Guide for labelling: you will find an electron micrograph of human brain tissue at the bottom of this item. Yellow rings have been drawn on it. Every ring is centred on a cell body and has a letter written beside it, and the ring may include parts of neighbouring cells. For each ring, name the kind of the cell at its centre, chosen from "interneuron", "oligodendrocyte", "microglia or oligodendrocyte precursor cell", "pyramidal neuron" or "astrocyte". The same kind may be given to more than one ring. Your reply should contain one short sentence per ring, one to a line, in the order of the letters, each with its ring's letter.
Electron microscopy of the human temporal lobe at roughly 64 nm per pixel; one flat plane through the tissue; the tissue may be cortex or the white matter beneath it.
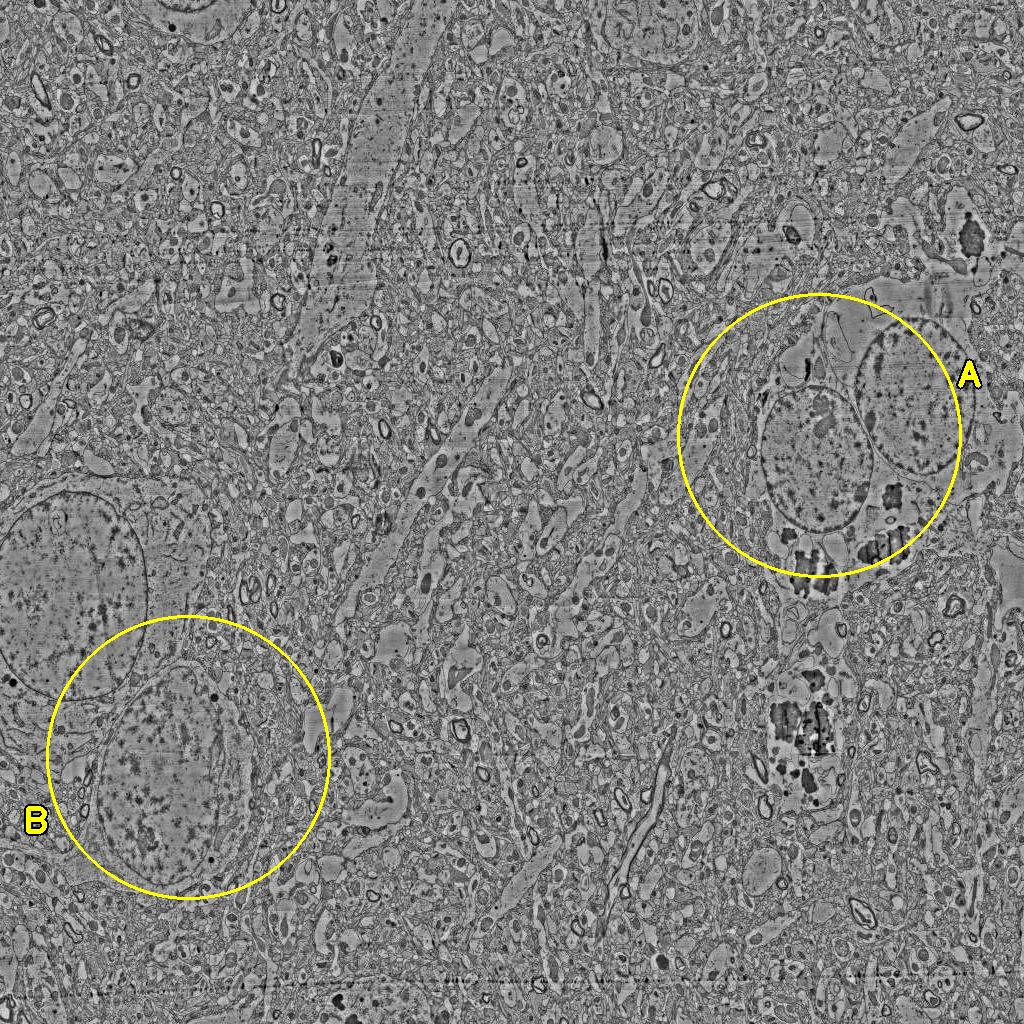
Ring A is centred on the body of an astrocyte.
Ring B is centred on the body of an interneuron.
